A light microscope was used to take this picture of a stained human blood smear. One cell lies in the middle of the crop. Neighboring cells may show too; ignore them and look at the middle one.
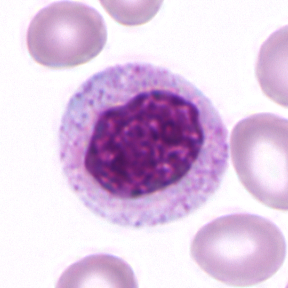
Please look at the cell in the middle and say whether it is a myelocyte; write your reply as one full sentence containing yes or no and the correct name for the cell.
No, the central cell is classed as a metamyelocyte, not a myelocyte.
